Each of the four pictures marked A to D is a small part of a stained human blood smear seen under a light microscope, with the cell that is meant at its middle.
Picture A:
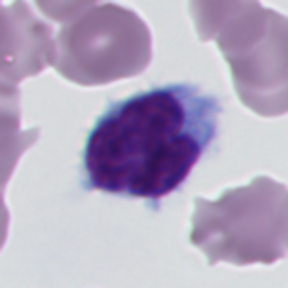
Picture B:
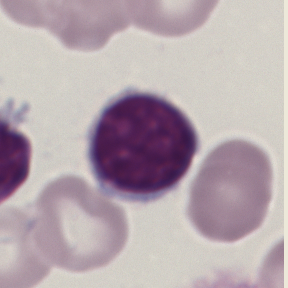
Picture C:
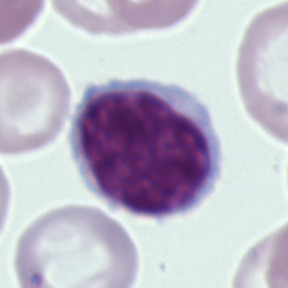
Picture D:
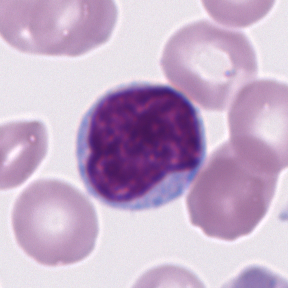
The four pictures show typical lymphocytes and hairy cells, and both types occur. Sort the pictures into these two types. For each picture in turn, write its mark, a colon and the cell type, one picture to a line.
A: hairy cell
B: typical lymphocyte
C: typical lymphocyte
D: typical lymphocyte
